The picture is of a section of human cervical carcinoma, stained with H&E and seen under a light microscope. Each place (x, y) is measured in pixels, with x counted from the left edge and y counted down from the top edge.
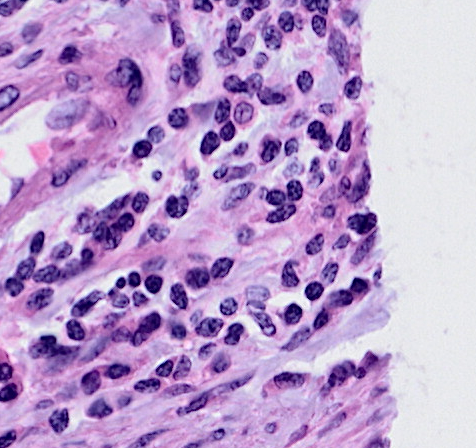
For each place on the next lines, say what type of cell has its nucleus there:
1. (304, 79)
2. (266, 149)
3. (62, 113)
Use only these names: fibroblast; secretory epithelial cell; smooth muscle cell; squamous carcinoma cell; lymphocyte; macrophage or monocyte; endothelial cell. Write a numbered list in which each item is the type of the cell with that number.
1. lymphocyte
2. lymphocyte
3. endothelial cell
